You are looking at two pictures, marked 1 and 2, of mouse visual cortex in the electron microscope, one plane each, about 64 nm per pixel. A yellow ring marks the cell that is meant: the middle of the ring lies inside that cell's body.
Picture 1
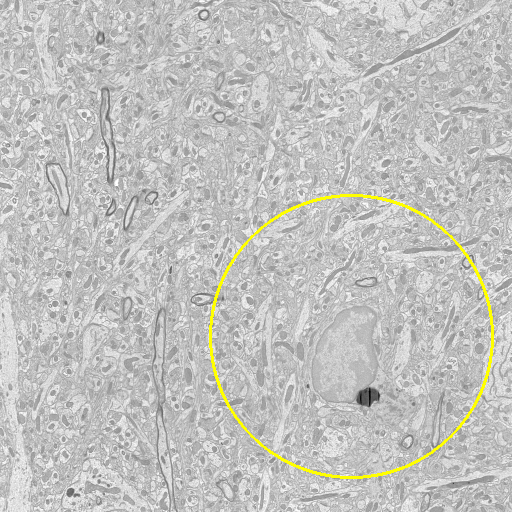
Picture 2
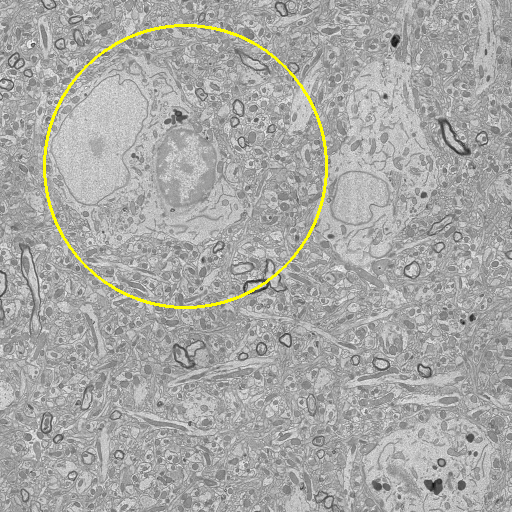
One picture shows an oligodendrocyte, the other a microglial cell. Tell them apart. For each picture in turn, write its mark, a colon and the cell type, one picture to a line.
1: microglial cell
2: oligodendrocyte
